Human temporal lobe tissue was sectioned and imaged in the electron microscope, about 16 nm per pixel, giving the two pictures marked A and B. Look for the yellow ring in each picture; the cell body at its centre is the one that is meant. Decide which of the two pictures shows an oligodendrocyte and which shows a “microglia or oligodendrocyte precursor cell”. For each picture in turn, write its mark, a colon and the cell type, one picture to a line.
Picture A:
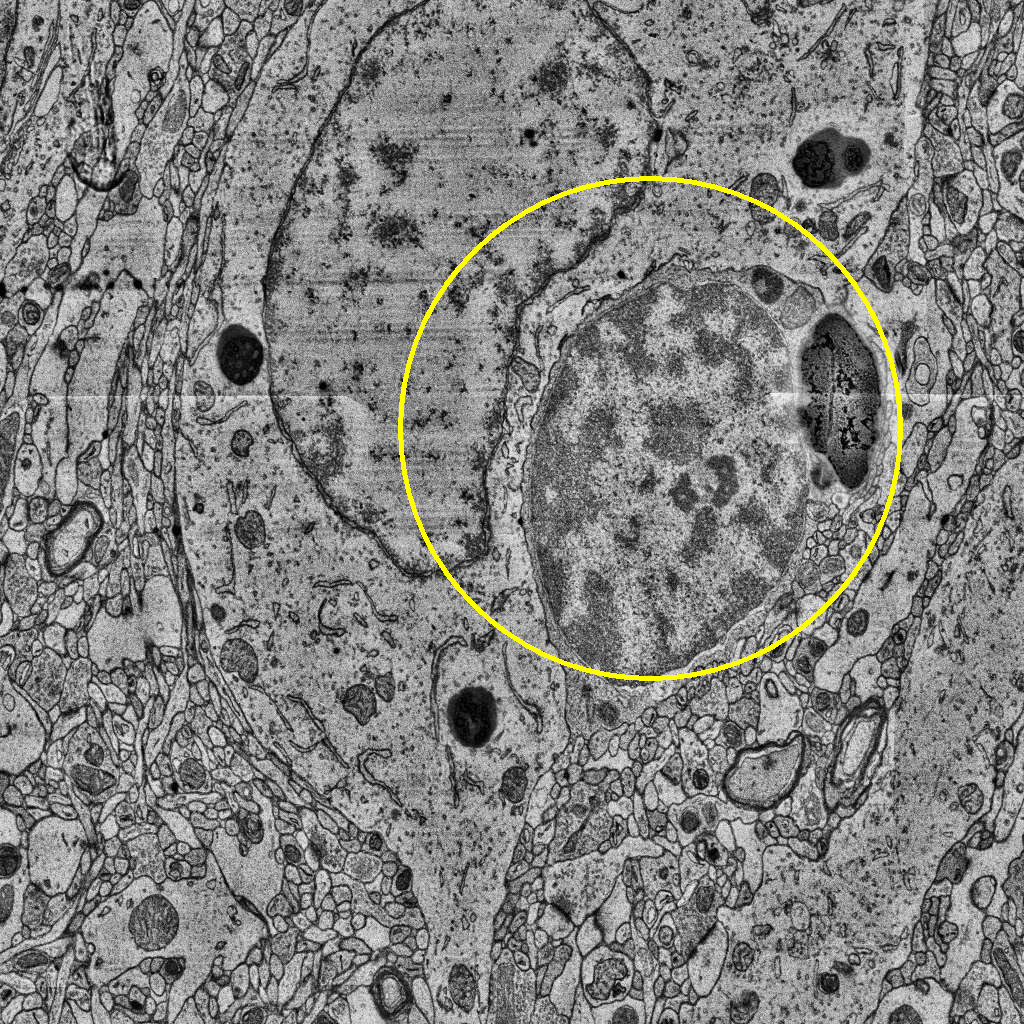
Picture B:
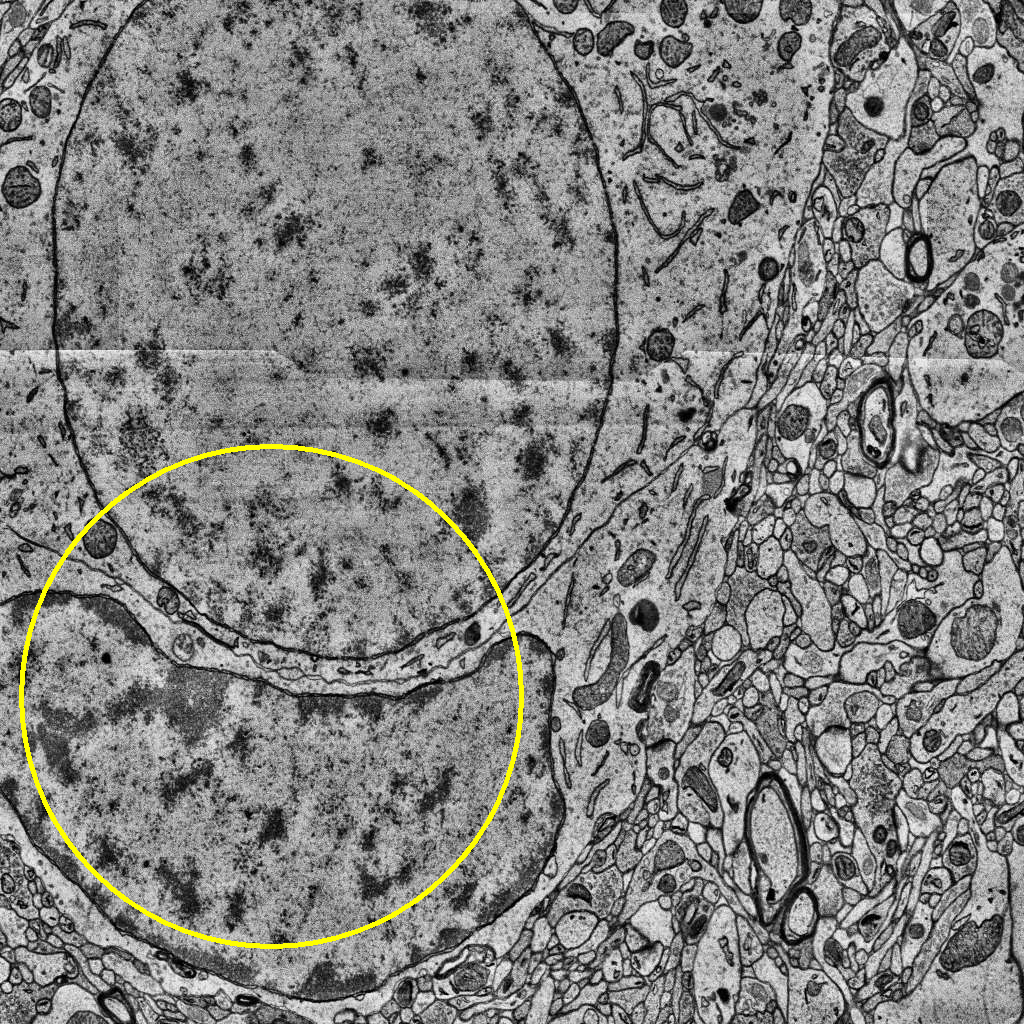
A: oligodendrocyte
B: microglia or oligodendrocyte precursor cell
